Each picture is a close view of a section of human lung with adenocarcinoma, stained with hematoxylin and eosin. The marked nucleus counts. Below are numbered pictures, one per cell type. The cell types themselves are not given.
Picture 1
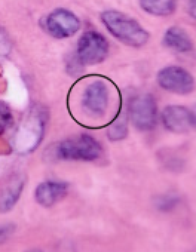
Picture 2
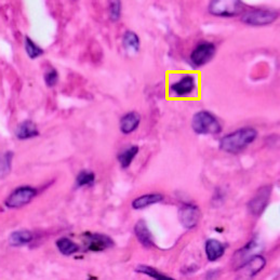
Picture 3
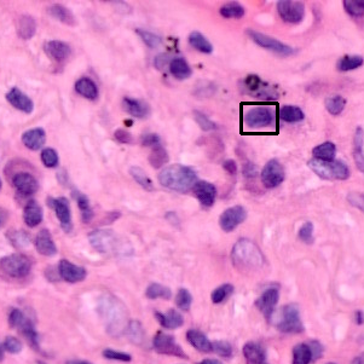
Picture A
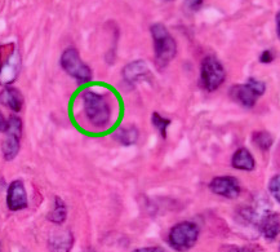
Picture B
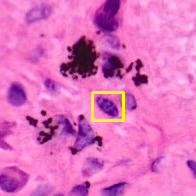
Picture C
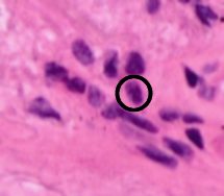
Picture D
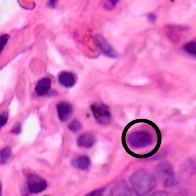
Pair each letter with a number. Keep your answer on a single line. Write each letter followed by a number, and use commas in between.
A 2, B 1, C 2, D 2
